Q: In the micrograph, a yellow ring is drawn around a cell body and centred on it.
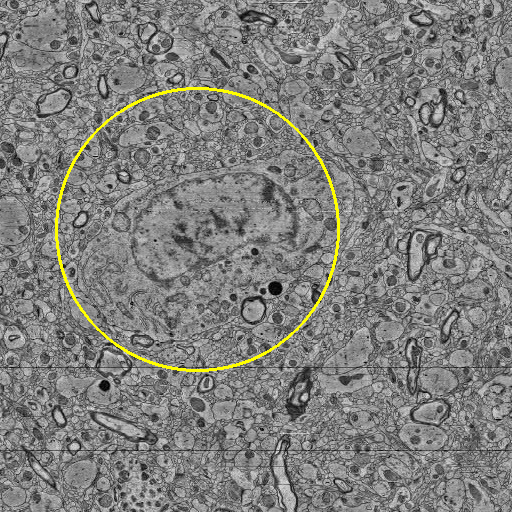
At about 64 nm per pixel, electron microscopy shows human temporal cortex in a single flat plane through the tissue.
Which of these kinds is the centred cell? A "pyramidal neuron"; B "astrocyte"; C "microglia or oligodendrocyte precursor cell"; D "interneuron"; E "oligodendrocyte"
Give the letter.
D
